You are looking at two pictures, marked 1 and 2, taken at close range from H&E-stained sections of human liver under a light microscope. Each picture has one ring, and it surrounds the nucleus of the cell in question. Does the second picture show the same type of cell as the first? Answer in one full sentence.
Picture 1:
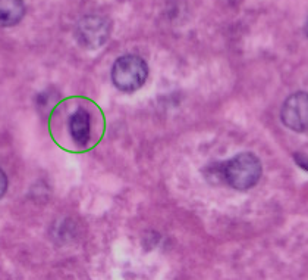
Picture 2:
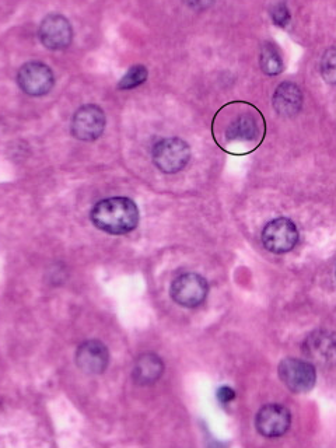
No; the cell in picture 1 is a “fibroblast or stellate cell”, while the one in picture 2 is an endothelial cell.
